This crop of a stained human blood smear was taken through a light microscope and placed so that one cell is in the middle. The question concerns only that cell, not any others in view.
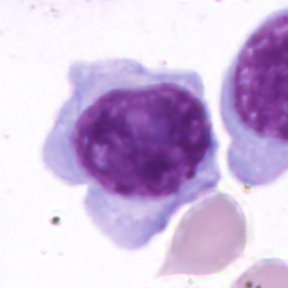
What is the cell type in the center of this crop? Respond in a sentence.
The cell under consideration, at the middle of the crop, is a plasma cell.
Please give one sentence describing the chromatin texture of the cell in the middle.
The chromatin is fine throughout, without coarse clumps.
